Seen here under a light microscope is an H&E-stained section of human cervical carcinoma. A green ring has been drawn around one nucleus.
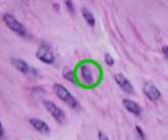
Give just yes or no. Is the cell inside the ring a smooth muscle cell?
yes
